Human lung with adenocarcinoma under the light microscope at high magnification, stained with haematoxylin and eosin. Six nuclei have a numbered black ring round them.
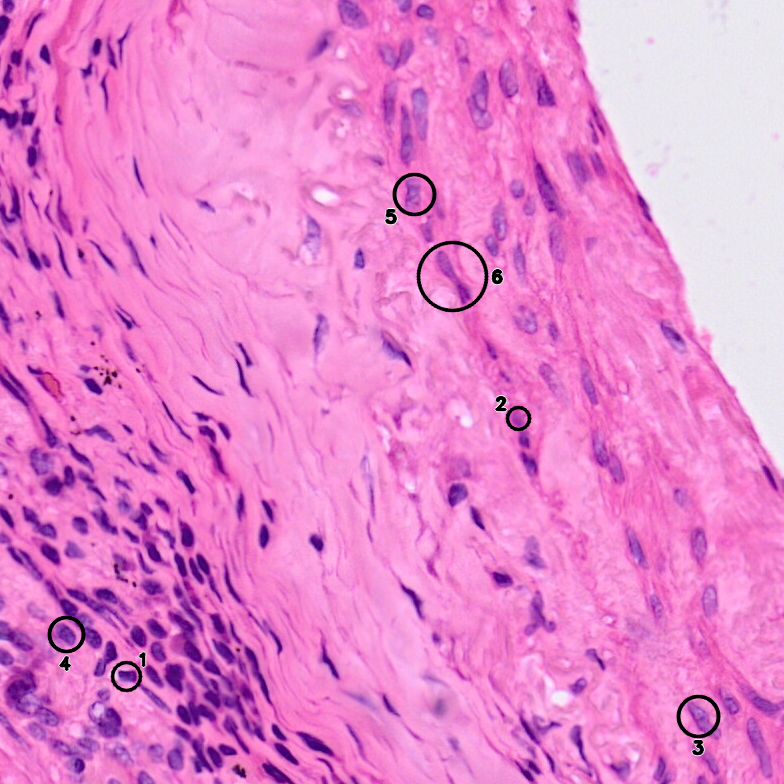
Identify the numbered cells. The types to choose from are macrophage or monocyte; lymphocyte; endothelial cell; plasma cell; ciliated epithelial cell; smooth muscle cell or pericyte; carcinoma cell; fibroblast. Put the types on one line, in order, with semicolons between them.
lymphocyte; smooth muscle cell or pericyte; smooth muscle cell or pericyte; lymphocyte; smooth muscle cell or pericyte; smooth muscle cell or pericyte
